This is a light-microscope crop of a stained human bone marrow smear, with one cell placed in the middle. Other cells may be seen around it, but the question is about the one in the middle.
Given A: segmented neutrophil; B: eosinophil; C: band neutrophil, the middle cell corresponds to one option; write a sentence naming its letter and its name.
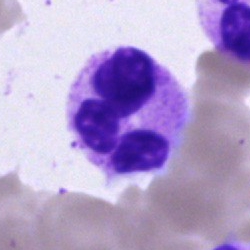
Option A is correct, and the cell in the centre is a segmented neutrophil.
